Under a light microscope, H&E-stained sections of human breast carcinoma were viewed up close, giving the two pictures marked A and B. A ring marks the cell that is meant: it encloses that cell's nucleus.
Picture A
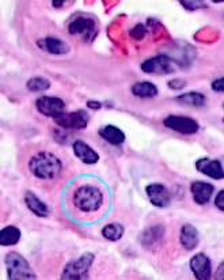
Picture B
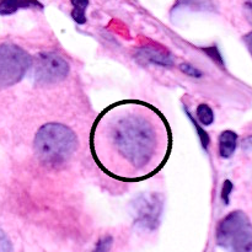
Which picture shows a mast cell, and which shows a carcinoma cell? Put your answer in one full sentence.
Picture A shows a mast cell and picture B shows a carcinoma cell.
